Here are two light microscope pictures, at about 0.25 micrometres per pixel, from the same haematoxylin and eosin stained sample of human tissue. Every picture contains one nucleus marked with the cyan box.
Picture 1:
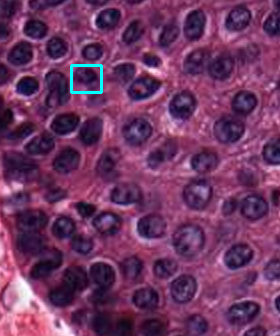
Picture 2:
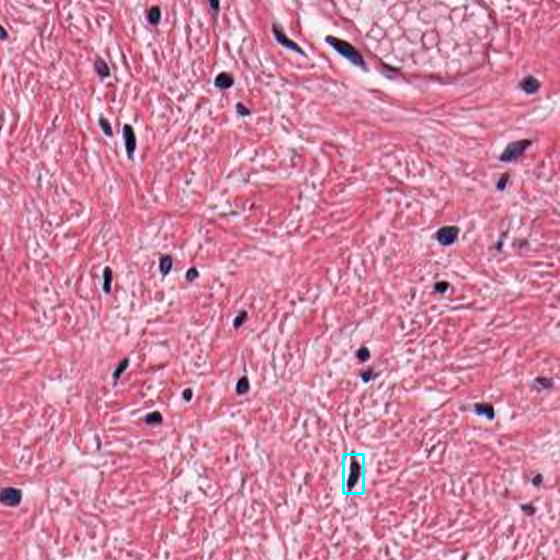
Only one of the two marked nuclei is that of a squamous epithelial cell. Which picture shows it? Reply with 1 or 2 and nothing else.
1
